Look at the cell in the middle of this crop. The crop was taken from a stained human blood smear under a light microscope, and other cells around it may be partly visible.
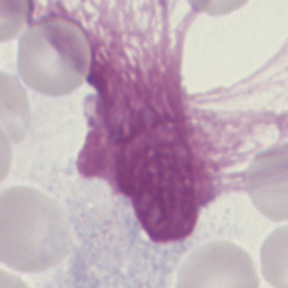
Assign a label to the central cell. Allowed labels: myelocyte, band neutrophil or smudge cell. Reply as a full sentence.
For this crop, the cell in the middle is a smudge cell.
